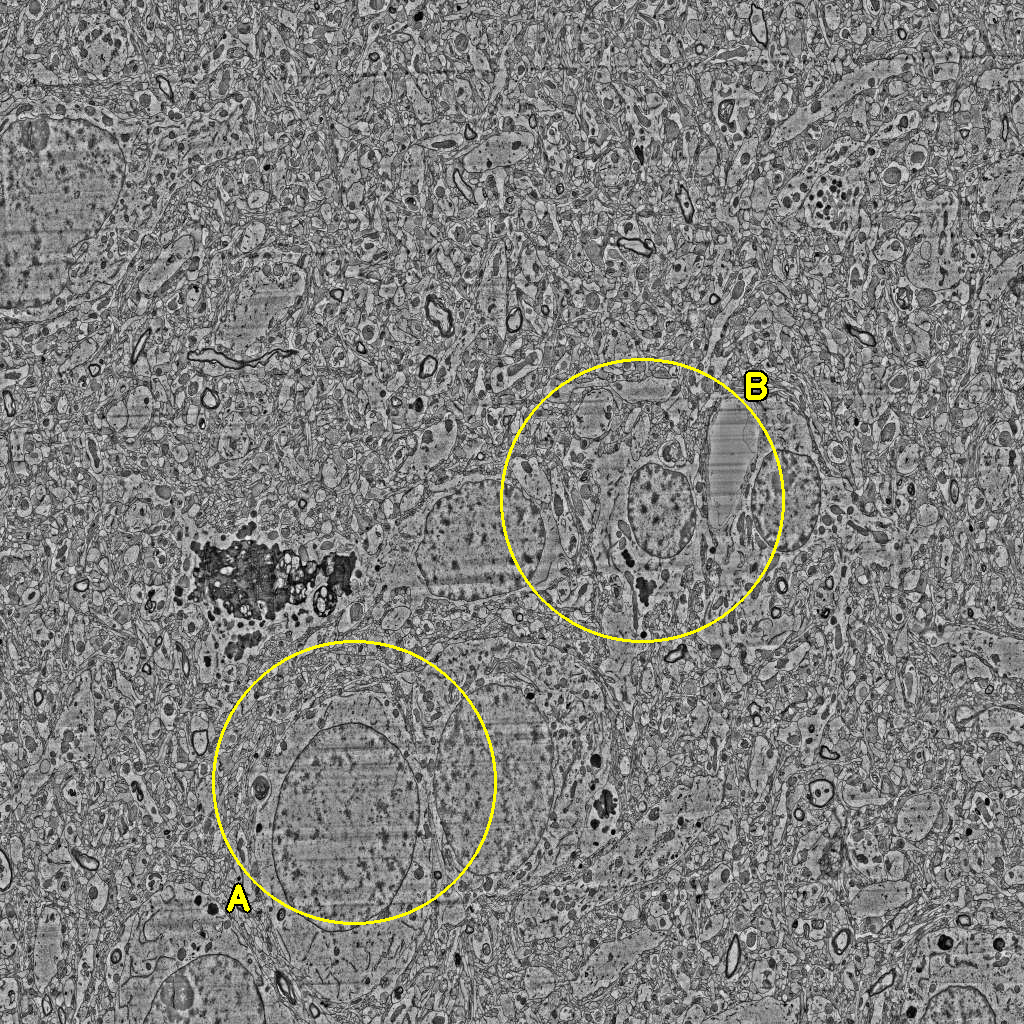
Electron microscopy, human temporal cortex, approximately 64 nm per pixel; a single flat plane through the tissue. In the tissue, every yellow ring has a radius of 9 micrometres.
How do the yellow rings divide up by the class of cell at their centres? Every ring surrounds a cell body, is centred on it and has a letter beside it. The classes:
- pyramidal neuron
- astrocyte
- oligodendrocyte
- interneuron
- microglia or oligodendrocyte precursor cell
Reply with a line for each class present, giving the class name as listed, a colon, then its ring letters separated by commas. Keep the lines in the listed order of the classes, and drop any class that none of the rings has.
pyramidal neuron: A
astrocyte: B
